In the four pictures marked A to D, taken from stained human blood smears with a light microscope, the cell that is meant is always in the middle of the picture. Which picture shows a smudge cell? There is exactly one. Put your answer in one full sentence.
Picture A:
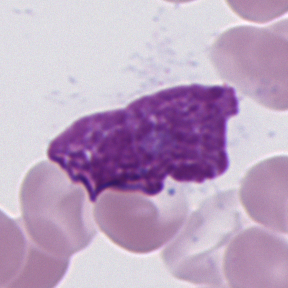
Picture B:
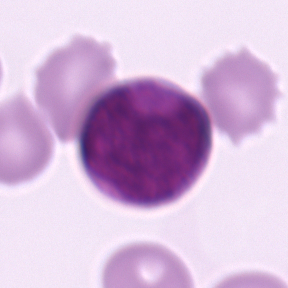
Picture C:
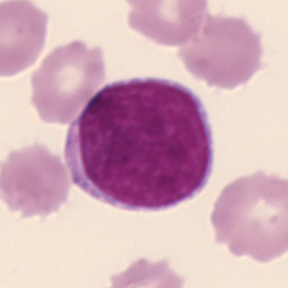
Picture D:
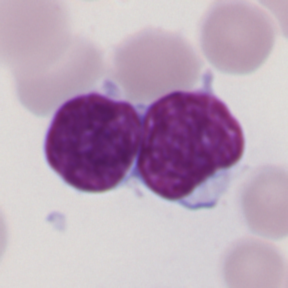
The cell in picture A is the smudge cell.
